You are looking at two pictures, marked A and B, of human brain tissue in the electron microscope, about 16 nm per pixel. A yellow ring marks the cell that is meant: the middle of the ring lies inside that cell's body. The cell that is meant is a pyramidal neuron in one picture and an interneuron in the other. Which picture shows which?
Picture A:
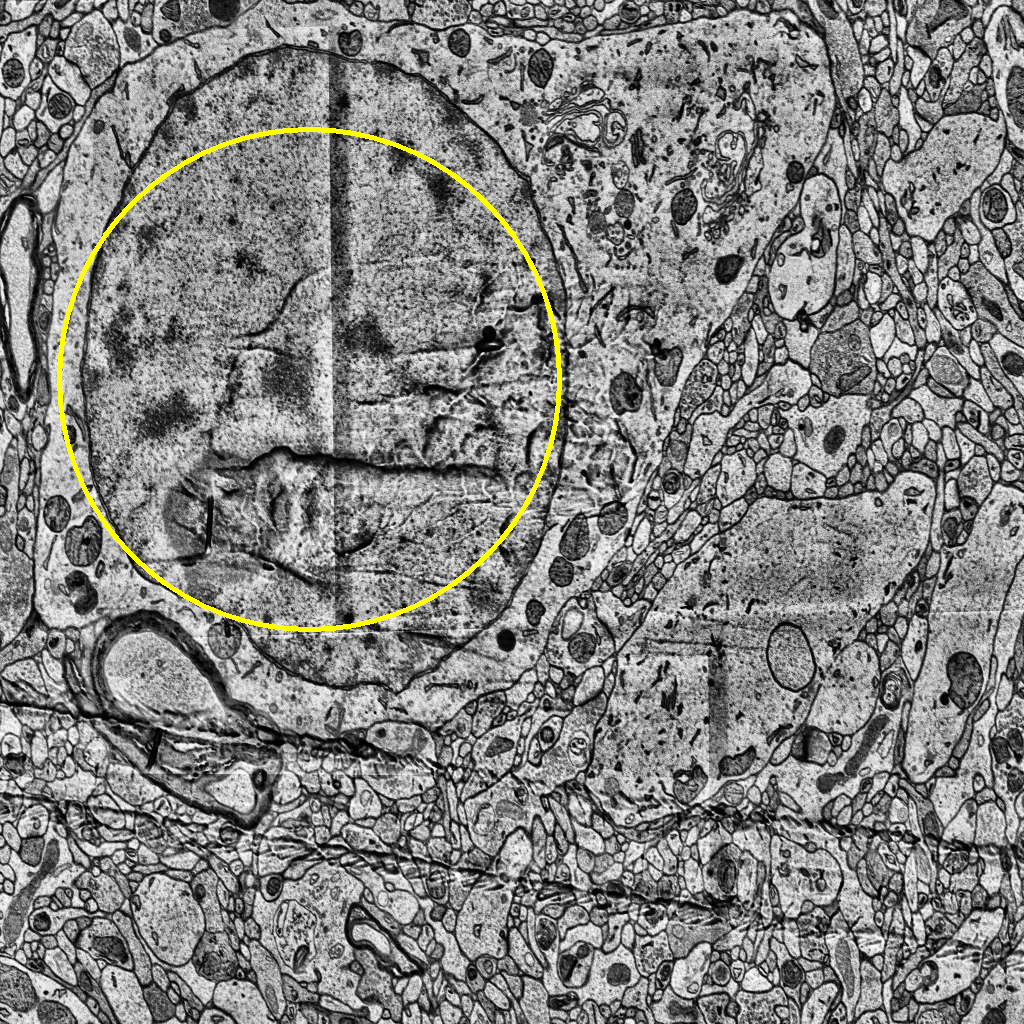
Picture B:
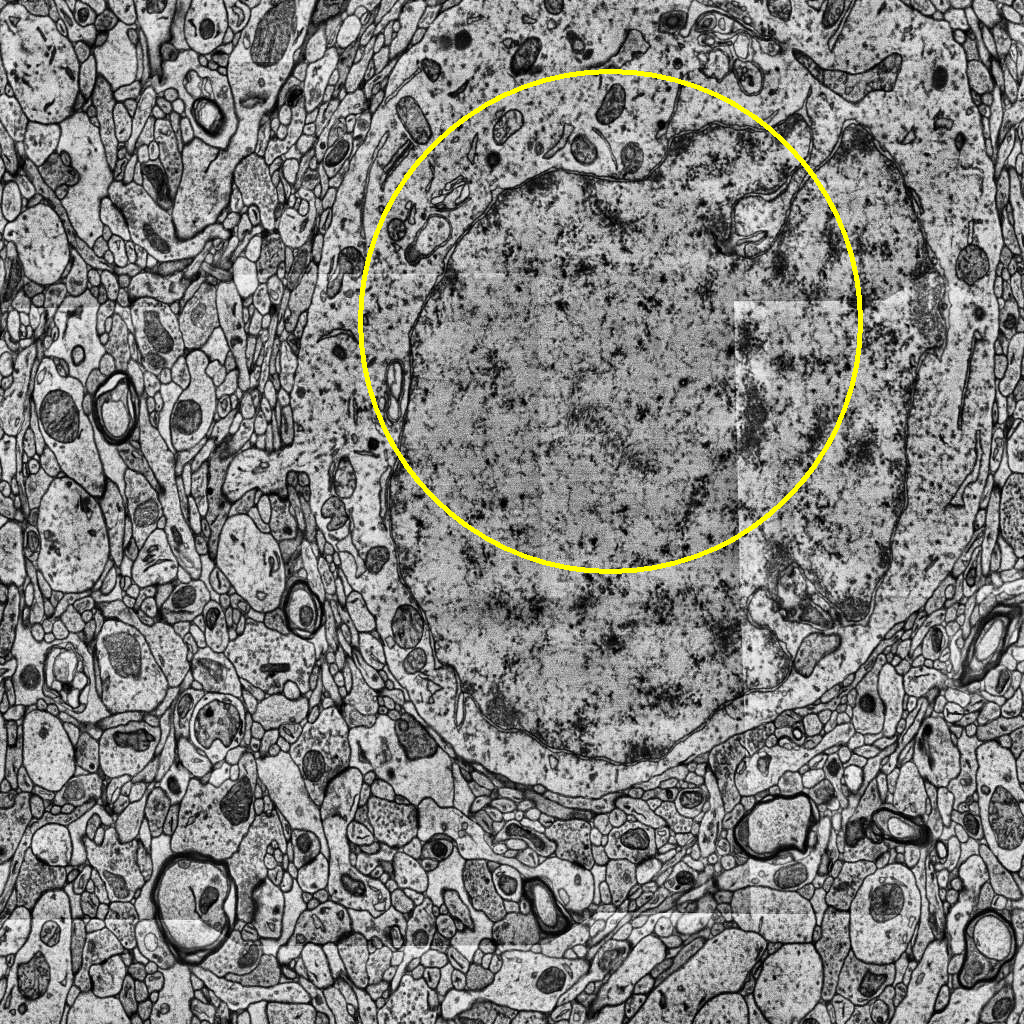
It is picture A that shows a pyramidal neuron, and picture B that shows an interneuron.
